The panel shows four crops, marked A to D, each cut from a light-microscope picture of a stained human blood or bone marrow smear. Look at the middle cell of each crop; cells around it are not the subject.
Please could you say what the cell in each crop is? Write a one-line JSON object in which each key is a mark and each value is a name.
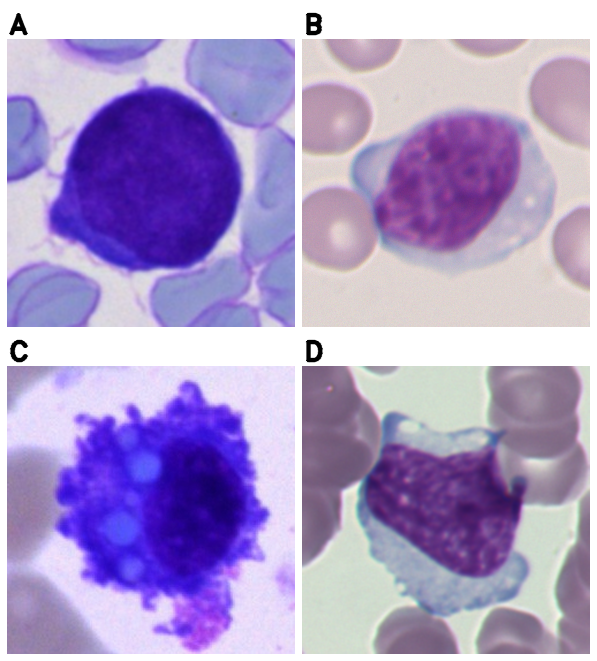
{"A": "blast", "B": "blast", "C": "plasma cell", "D": "blast"}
